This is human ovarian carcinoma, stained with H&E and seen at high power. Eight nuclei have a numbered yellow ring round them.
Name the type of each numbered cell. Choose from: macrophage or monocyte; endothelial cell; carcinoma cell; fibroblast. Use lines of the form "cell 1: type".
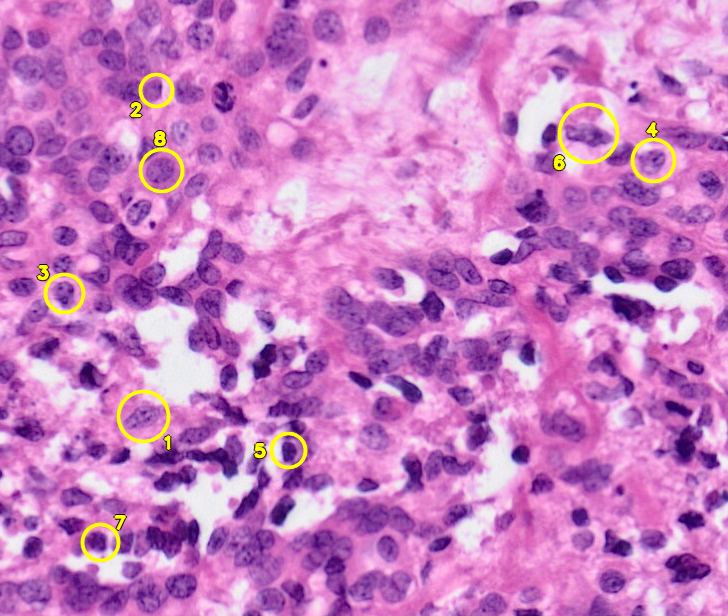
cell 1: macrophage or monocyte
cell 2: carcinoma cell
cell 3: macrophage or monocyte
cell 4: macrophage or monocyte
cell 5: carcinoma cell
cell 6: macrophage or monocyte
cell 7: carcinoma cell
cell 8: carcinoma cell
